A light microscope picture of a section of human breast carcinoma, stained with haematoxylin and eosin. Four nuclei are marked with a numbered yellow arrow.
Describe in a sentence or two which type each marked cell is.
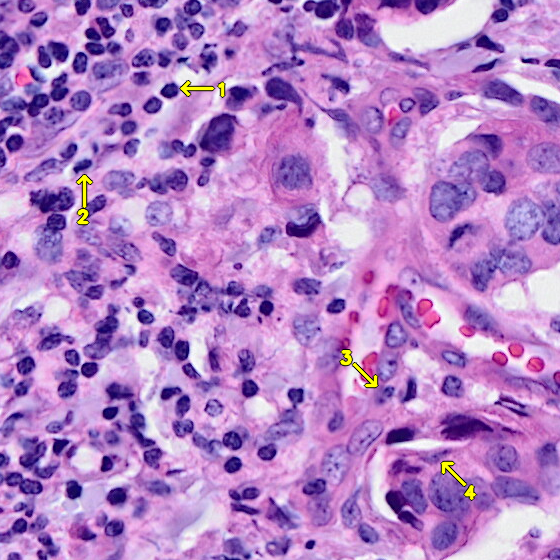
Cell 1 is a lymphocyte, cell 2 is a lymphocyte, cell 3 is an endothelial cell and cell 4 is a carcinoma cell.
